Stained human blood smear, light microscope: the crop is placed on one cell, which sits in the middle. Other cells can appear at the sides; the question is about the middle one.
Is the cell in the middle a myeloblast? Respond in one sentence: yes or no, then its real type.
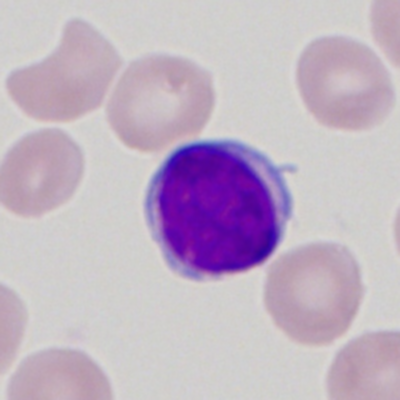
No, at the centre of this crop is found a lymphocyte instead of a myeloblast.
